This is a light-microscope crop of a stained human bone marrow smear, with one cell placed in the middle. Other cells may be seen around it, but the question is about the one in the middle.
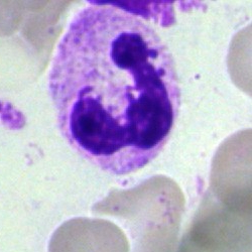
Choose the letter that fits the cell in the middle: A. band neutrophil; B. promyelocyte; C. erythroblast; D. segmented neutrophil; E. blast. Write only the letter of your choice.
D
